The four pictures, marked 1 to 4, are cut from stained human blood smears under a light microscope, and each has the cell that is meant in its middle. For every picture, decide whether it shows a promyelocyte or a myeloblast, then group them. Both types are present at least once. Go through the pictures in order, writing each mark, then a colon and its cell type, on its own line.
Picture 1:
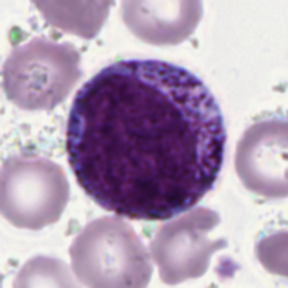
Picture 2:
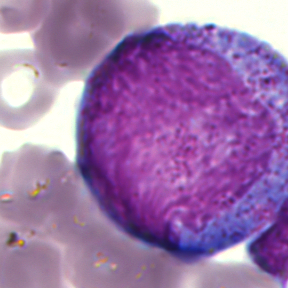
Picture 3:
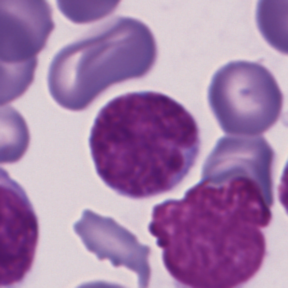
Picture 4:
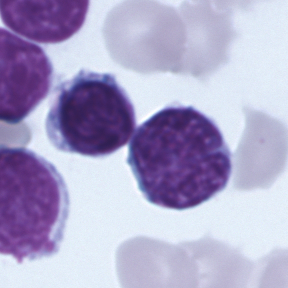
1: promyelocyte
2: promyelocyte
3: myeloblast
4: myeloblast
